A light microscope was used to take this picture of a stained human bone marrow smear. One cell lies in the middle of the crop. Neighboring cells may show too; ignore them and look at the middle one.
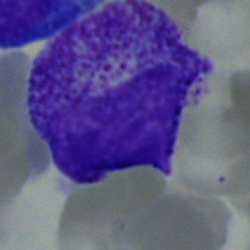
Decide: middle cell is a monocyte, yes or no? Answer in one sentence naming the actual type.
No, instead of being a monocyte, the middle cell is a promyelocyte.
